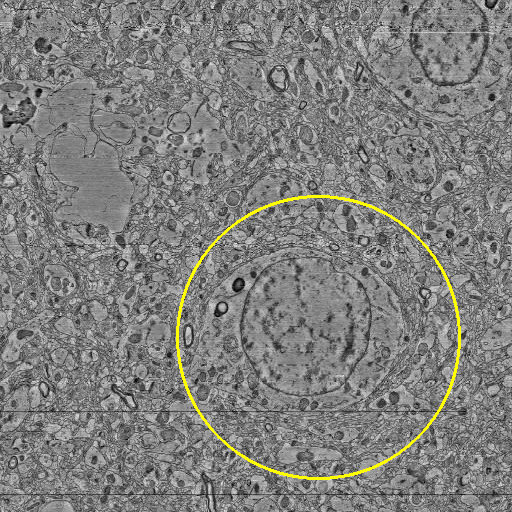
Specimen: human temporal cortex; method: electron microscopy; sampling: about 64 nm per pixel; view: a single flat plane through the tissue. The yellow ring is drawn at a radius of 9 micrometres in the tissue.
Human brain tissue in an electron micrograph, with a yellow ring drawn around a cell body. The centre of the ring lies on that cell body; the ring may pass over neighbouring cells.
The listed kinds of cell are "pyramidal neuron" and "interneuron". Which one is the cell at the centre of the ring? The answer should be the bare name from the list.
pyramidal neuron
